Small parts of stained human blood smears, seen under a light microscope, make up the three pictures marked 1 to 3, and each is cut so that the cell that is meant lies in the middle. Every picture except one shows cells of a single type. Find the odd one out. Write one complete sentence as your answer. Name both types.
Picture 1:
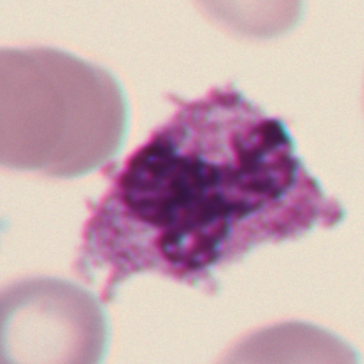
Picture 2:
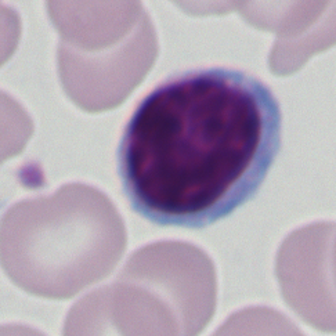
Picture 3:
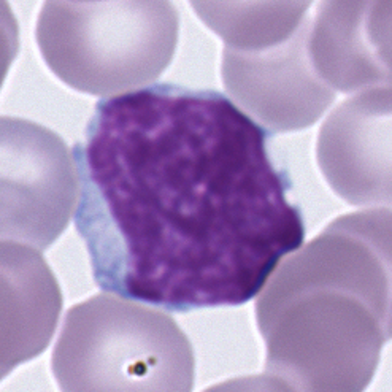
The different one is picture 1; it shows a basophil, whereas all the others show typical lymphocytes.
